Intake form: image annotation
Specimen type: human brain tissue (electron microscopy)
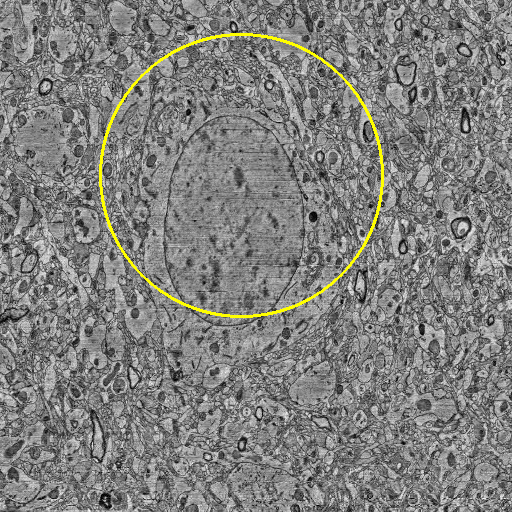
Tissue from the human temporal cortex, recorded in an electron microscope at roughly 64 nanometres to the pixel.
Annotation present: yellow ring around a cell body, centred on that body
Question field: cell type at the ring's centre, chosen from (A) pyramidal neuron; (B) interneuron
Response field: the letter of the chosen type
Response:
A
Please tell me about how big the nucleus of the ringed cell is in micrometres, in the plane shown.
The ringed cell's nucleus is roughly 14 by 9 micrometres and clearly longer than it is wide in this plane.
